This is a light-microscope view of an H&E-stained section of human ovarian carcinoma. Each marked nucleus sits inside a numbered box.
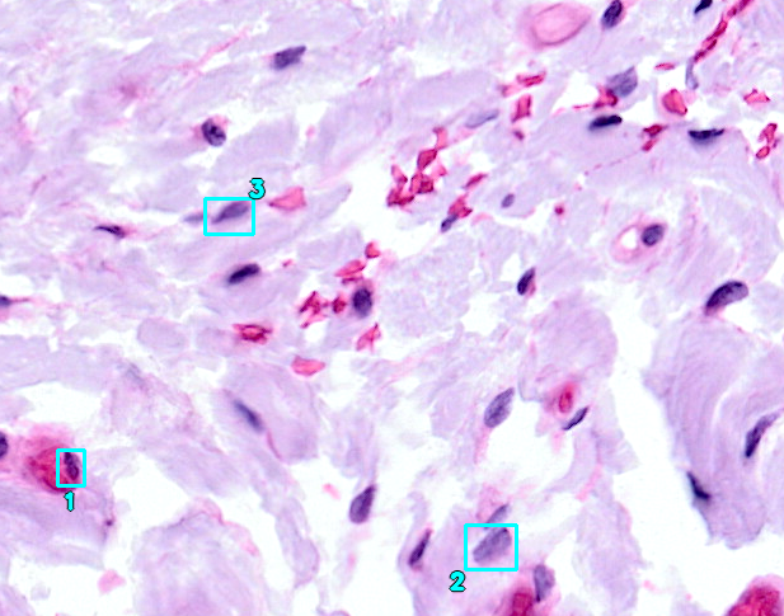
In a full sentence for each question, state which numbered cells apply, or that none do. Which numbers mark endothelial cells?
Across all the numbered cells, only number 1 is an endothelial cell.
